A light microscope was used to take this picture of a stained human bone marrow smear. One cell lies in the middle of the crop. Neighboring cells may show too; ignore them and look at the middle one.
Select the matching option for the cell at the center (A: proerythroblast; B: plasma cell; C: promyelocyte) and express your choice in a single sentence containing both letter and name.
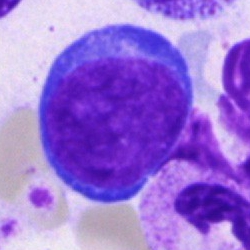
The right choice is option A: the cell in the middle is a proerythroblast.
